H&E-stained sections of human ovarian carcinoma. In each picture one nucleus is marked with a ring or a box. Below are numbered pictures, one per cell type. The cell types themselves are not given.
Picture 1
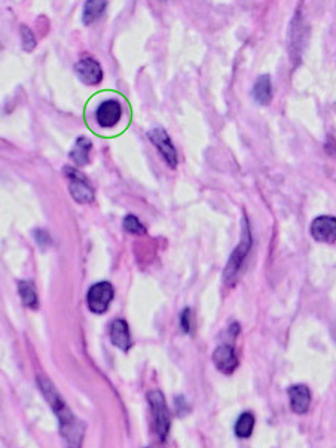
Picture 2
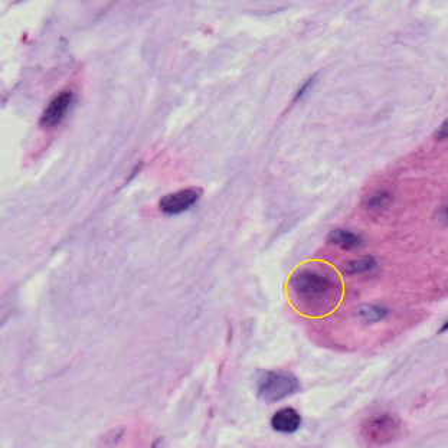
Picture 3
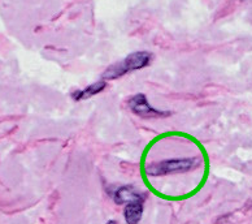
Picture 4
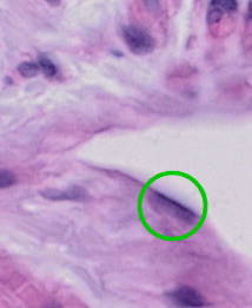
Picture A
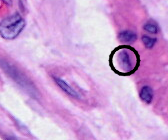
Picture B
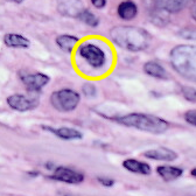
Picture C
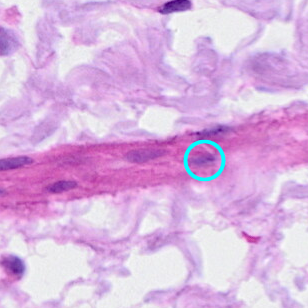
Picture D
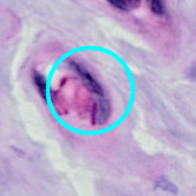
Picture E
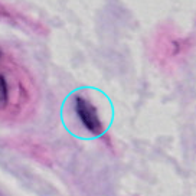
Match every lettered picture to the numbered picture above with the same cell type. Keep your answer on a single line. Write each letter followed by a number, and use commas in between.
A 2, B 1, C 2, D 4, E 3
